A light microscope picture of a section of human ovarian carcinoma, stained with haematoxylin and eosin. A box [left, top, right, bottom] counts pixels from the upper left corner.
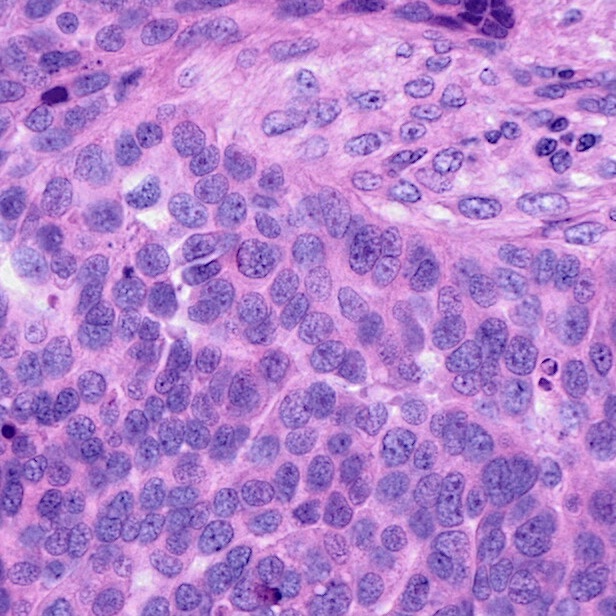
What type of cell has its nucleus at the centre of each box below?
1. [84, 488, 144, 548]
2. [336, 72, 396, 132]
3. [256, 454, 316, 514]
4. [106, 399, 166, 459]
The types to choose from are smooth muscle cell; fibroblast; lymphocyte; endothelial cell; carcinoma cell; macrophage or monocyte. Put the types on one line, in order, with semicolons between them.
carcinoma cell; fibroblast; carcinoma cell; carcinoma cell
